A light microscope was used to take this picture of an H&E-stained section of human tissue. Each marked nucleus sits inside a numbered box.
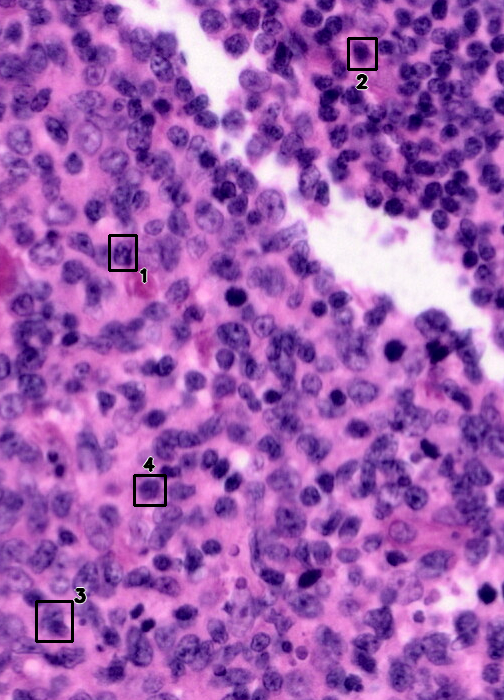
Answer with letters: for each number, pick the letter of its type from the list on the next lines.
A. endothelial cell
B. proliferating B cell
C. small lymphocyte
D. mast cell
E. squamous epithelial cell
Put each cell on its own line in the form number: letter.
1: B
2: A
3: B
4: B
